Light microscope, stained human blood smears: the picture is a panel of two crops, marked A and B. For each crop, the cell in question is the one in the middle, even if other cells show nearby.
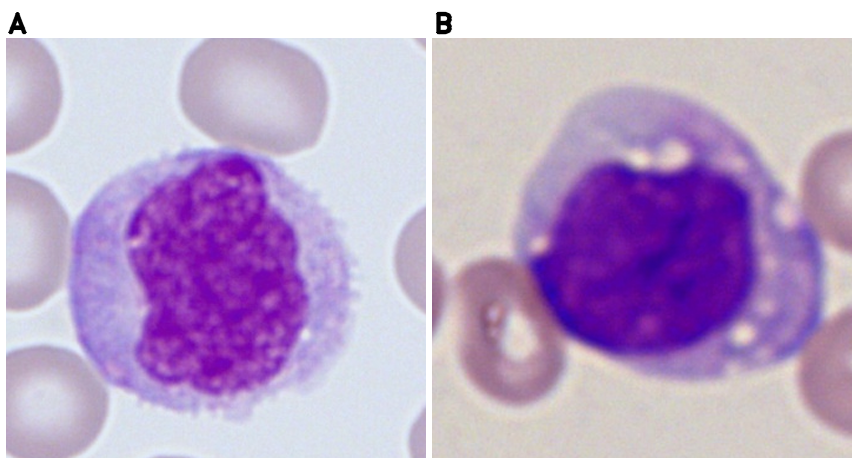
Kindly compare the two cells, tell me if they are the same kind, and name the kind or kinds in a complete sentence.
Yes, what both crops show is monocytes.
